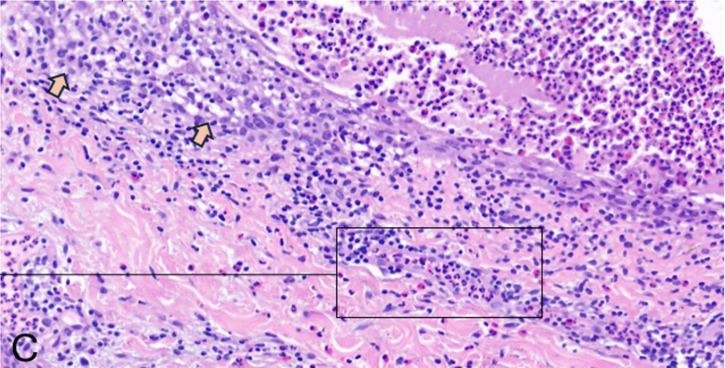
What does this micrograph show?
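This higher view shows the base of an epidermal pustule and the superficial dermis beneath it. The upper right is packed with inflammatory cells with dark lobed nuclei, while along the lower epidermis small round lymphocytes with dense nuclei lie among the keratinocytes, some with clear spaces around them. The underlying dermis, made of pink collagen bundles, holds a scattered mixed infiltrate in which some cells have bright pink granular cytoplasm.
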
